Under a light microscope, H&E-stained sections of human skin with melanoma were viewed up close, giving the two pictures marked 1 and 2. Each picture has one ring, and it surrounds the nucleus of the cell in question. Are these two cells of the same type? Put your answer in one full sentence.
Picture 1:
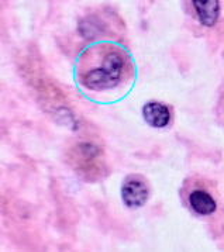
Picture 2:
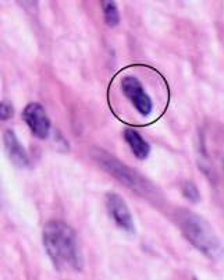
No, picture 1 shows a “macrophage or monocyte” and picture 2 shows a lymphocyte.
